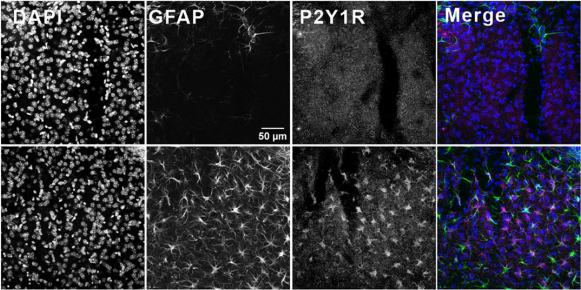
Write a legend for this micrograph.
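In the upper row only a few thin star-shaped astrocytes are seen, whereas in the lower row many astrocytes with enlarged bodies and dense branched processes fill the field. In the lower row the third-column stain, magenta in the merge, picks out numerous small star-shaped cell bodies overlapping the astrocytes, while in the upper row it is faint and diffuse.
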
